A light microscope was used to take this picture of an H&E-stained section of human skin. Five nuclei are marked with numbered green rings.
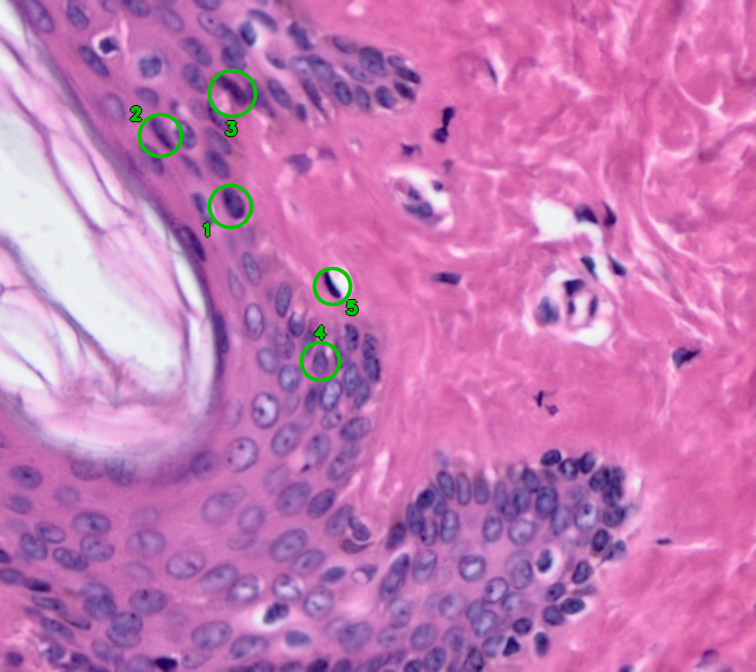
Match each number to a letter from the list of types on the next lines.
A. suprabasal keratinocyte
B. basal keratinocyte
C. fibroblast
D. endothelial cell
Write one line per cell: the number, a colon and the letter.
1: B
2: A
3: B
4: B
5: C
